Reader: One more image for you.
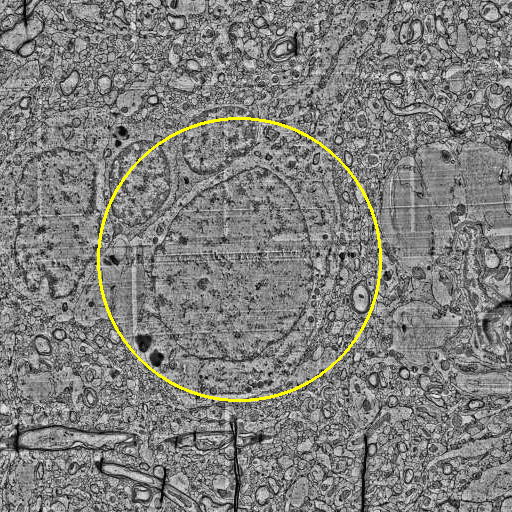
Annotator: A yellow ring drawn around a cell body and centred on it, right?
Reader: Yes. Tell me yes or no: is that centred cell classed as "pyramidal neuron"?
yes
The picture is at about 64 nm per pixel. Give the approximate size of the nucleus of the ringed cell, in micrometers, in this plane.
In this plane the nucleus is about 13 micrometres by 11.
